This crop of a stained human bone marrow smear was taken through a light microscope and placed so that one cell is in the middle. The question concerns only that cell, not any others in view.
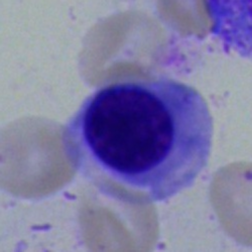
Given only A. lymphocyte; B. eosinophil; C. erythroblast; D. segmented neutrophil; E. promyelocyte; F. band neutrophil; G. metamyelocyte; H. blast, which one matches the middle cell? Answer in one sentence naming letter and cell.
The central cell in this crop is an erythroblast, so the correct choice is option C.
